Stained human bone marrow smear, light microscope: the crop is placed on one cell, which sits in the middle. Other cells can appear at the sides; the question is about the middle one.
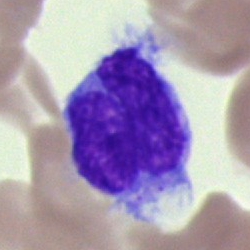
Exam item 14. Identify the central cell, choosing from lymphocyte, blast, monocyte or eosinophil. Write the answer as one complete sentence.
The central cell in this smear crop is a monocyte.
